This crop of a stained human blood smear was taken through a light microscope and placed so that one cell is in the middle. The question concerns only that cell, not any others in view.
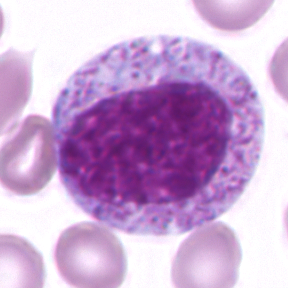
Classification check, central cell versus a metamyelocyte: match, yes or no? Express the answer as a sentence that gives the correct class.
No, the cell in the middle is a myelocyte; it is not a metamyelocyte.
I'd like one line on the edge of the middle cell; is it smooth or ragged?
Smooth edges only, with no spikes, blebs, or other projections.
